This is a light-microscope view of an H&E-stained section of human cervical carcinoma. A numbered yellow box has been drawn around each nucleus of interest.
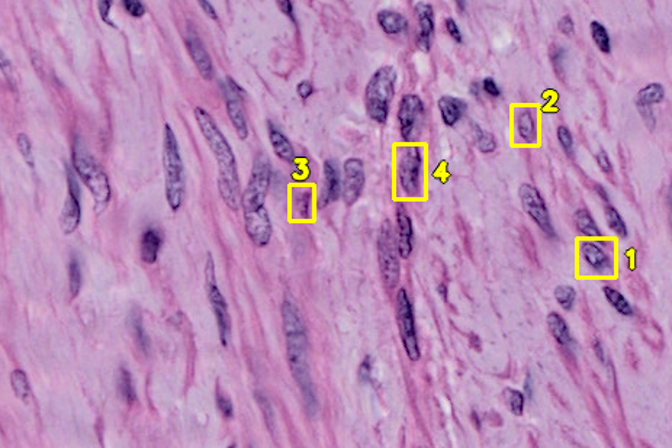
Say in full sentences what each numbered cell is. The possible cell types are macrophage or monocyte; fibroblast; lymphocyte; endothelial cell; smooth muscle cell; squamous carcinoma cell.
Cells 1, 2 and 3 are smooth muscle cells. Cell 4 is an endothelial cell.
